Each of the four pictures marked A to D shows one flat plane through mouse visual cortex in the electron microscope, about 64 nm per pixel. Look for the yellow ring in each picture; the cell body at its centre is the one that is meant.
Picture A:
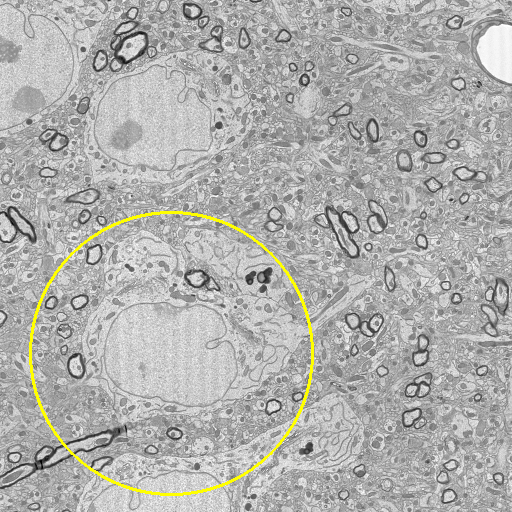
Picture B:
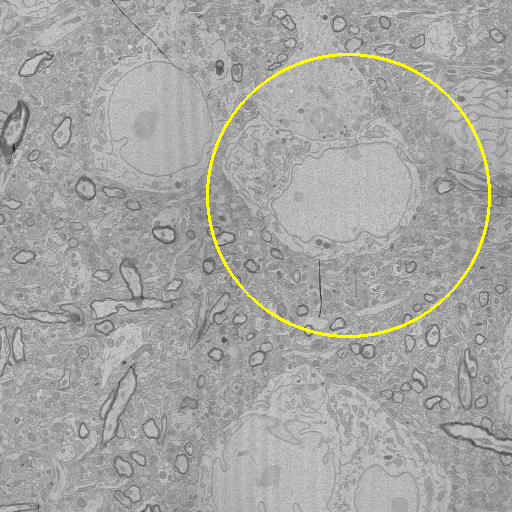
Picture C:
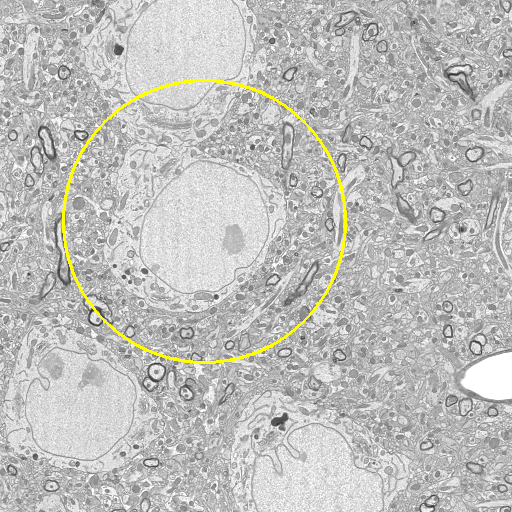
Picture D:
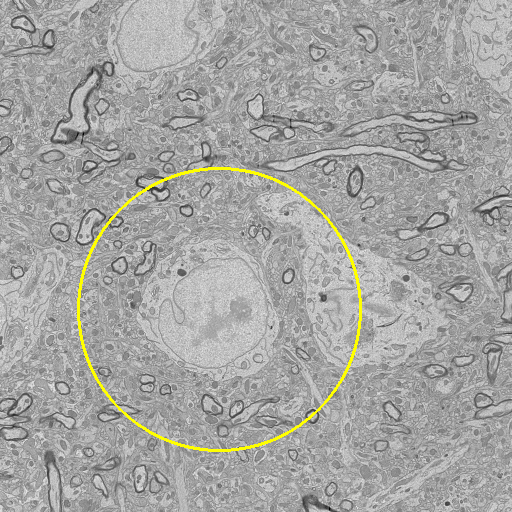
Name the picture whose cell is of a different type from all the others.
Picture B differs, because its cell is an inhibitory neuron and the rest are excitatory neurons.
